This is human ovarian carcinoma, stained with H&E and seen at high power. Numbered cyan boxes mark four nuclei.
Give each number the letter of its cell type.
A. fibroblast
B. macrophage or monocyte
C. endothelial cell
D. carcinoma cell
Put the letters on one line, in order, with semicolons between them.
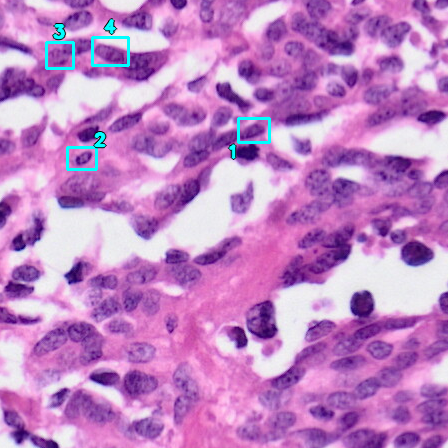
D; B; D; D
